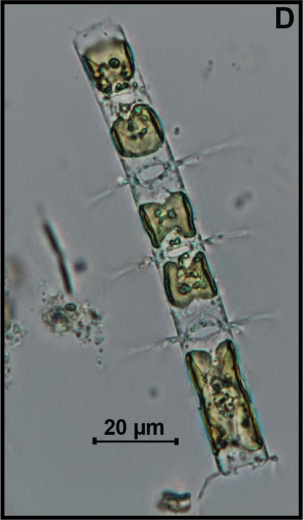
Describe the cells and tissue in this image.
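This is a chain-forming marine diatom, Chaetoceros, seen by light microscopy. Several rectangular cells are joined end to end into a straight chain, each cell enclosed by a clear silica wall. Each cell contains brownish plastids packed into its interior, leaving gaps between neighbouring cells. Long, thin, transparent bristles project sideways from the junctions between adjacent cells, extending well beyond the width of the chain.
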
